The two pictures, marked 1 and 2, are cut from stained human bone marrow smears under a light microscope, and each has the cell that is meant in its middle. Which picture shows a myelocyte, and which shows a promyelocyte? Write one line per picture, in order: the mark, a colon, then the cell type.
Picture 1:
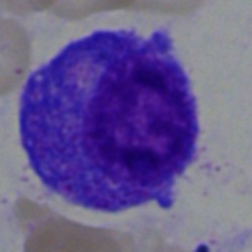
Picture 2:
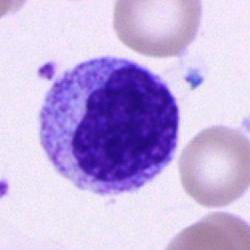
1: promyelocyte
2: myelocyte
